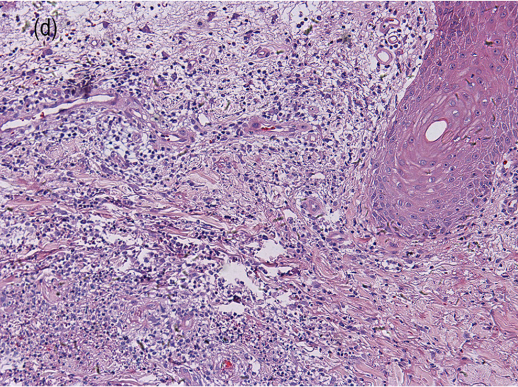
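Dermis with marked edema and a diffuse inflammatory infiltrate. The connective tissue is pale and loose, with widely separated thin fibres and scattered clear spaces. At the right edge a pink stratified epithelial structure with a small central lumen borders the infiltrate, and a few small vessels with red blood cells are seen in the dermis.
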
